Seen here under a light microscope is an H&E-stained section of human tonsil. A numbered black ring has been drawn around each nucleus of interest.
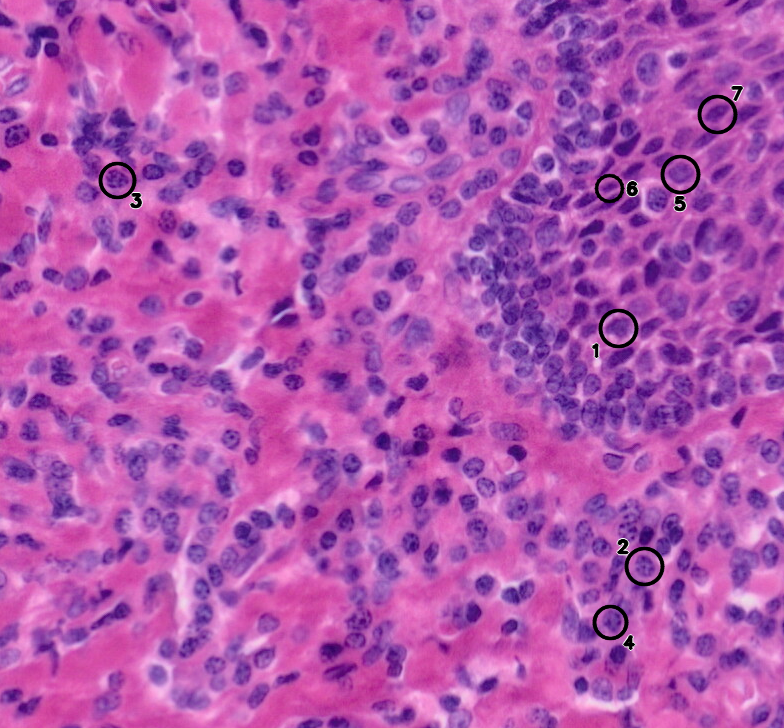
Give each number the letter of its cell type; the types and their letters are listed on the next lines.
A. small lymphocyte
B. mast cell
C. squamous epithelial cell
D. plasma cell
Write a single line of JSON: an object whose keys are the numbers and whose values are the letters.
{"1": "C", "2": "D", "3": "D", "4": "D", "5": "C", "6": "C", "7": "C"}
